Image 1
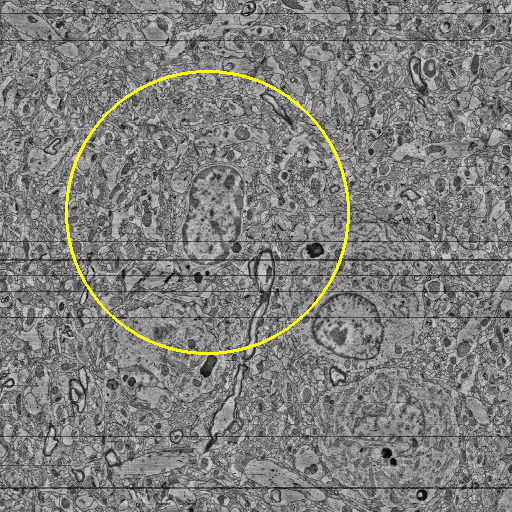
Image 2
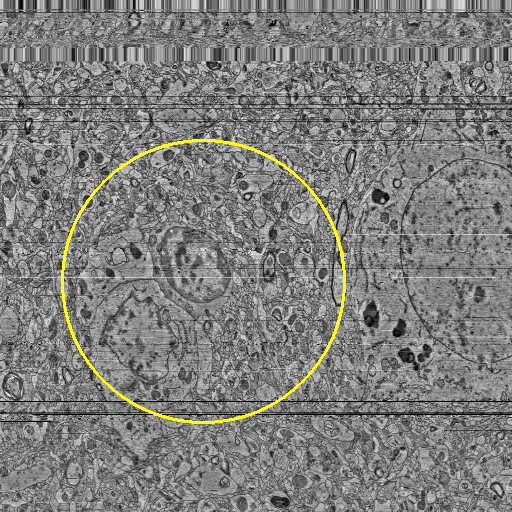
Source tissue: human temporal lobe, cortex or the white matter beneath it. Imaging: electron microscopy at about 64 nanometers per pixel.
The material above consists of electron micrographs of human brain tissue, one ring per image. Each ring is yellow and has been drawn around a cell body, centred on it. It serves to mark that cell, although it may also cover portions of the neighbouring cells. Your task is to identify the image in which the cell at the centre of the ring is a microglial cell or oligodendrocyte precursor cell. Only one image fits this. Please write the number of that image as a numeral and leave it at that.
1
